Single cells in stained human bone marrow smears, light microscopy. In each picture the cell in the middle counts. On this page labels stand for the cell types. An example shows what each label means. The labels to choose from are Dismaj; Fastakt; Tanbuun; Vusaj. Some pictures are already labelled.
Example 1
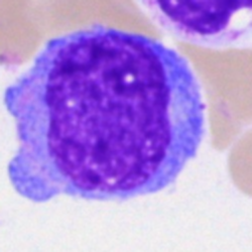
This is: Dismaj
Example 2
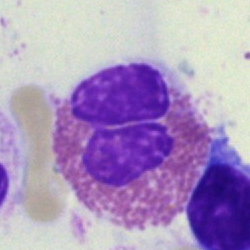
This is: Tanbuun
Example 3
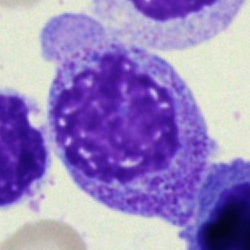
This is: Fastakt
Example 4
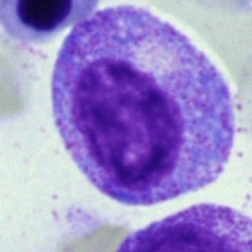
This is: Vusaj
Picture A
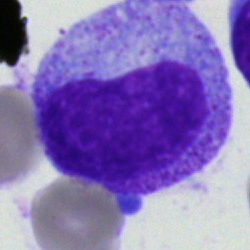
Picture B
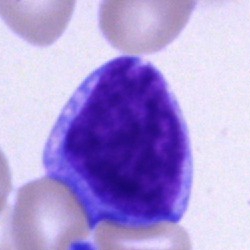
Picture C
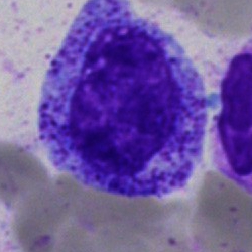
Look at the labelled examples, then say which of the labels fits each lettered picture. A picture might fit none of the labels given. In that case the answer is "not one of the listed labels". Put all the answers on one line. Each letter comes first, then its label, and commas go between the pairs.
A Vusaj, B Dismaj, C Fastakt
